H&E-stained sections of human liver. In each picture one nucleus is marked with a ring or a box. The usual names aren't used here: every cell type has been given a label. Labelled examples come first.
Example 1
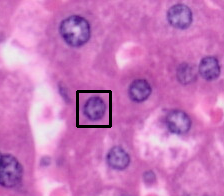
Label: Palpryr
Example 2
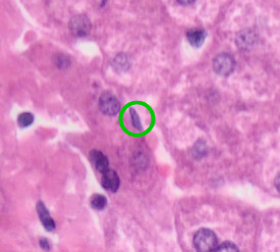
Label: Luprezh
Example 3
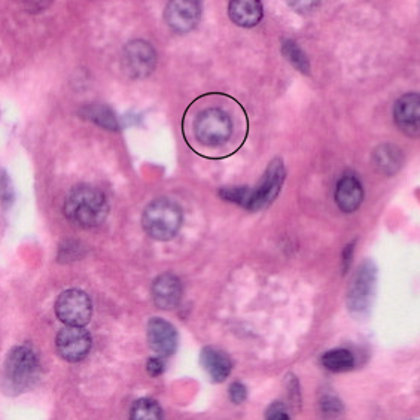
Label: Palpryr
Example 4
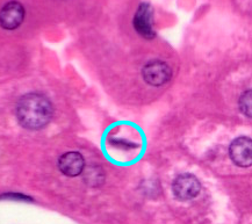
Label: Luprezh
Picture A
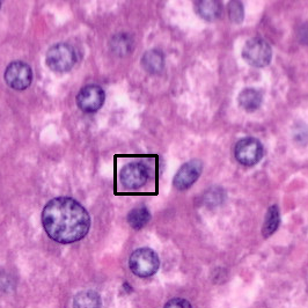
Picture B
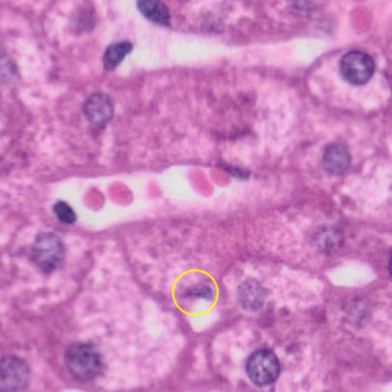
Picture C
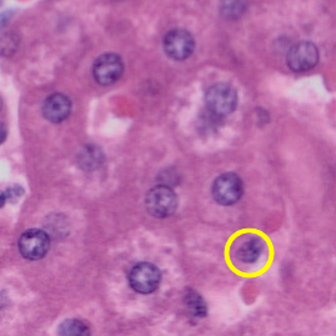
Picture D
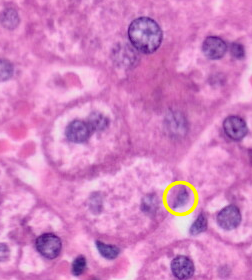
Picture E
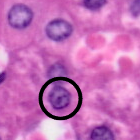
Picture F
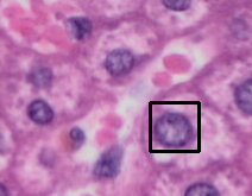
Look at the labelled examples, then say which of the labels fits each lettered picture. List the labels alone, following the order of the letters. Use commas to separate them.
Palpryr, Luprezh, Luprezh, Luprezh, Palpryr, Palpryr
